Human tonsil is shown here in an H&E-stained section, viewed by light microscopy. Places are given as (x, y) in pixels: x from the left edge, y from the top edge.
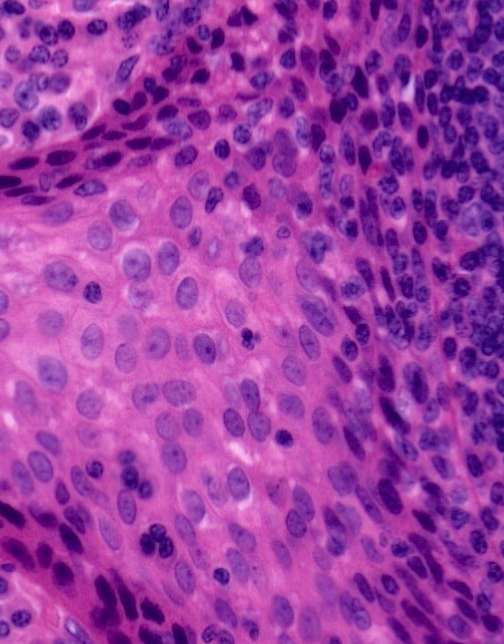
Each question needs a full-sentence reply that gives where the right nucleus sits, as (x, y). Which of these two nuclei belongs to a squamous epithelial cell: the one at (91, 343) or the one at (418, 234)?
The nucleus at (91, 343) is contained in a squamous epithelial cell.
